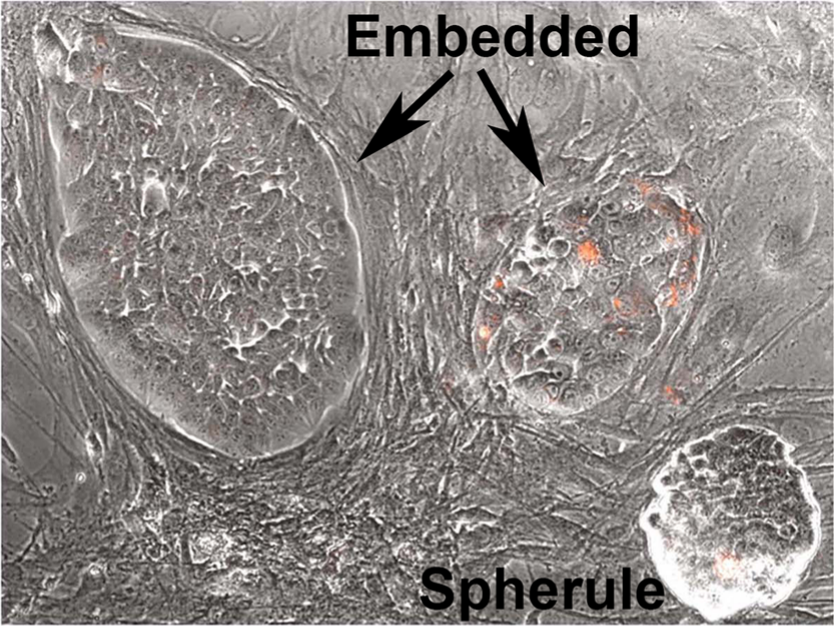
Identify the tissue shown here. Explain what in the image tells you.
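A continuous flat layer of elongated, spindle-shaped cells fills the background. The spindle cells run in parallel streams that wrap around the compact rounded cell clusters. The background cells carry little or no orange label.
Stroma monolayers.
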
